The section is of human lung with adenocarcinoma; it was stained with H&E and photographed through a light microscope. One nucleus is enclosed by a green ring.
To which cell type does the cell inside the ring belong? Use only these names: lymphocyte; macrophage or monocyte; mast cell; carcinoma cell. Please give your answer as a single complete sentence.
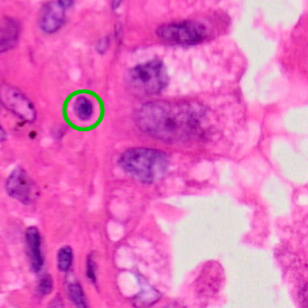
The identity of the cell inside the ring is that of a lymphocyte.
